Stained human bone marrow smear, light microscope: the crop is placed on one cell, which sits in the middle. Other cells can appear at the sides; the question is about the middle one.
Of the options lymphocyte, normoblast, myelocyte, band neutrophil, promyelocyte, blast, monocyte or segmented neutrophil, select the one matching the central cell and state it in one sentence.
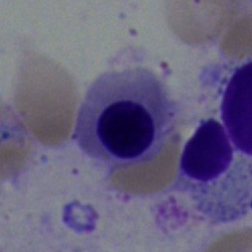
The central element of this crop is a cell, namely a normoblast.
